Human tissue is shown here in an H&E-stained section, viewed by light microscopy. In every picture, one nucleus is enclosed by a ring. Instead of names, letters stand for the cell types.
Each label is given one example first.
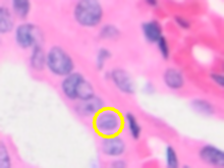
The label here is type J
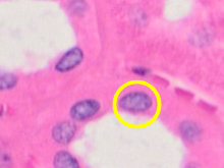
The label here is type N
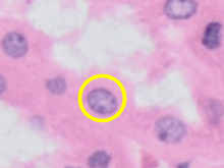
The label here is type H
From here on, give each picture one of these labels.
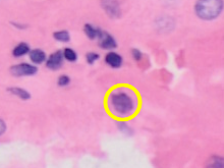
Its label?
type H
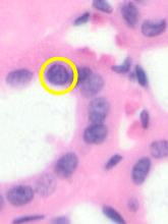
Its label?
type J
